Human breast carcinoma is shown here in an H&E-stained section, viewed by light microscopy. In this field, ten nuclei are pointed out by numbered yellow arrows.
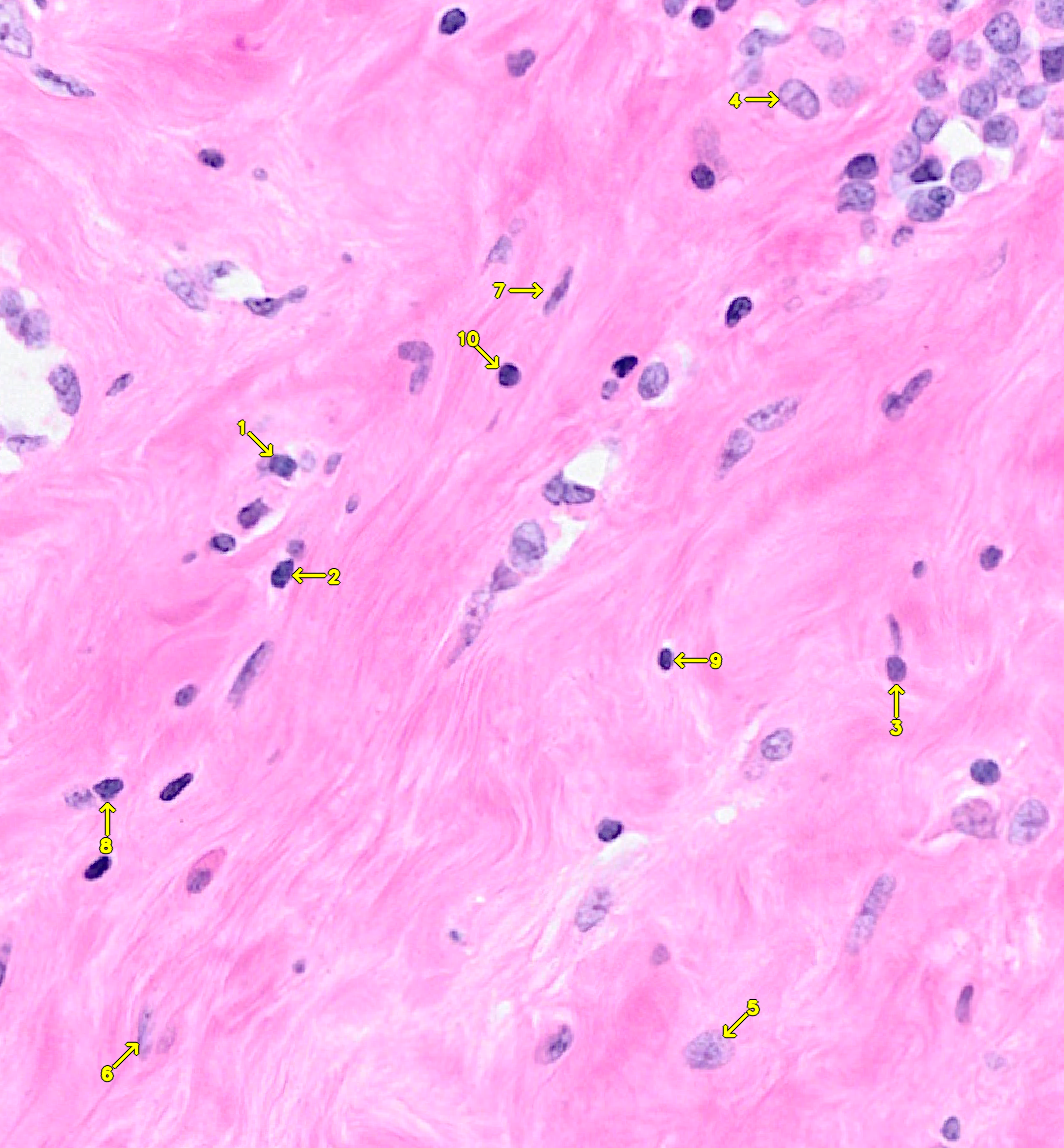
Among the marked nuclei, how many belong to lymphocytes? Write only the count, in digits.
6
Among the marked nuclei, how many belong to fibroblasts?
3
